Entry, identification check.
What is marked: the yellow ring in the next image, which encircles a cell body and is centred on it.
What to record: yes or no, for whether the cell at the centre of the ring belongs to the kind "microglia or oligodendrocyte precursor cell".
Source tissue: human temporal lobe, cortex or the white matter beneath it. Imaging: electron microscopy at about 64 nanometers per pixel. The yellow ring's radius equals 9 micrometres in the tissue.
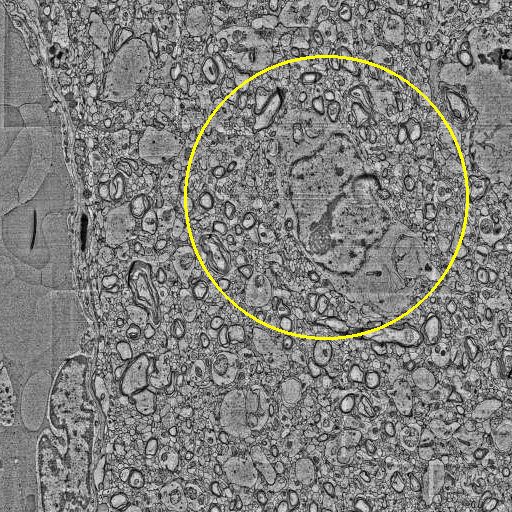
No, it belongs to another kind.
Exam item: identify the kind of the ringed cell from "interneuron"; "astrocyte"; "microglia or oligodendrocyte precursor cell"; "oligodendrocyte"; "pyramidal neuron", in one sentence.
What the ring is centred on is an astrocyte.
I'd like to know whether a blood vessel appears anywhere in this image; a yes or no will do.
Yes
